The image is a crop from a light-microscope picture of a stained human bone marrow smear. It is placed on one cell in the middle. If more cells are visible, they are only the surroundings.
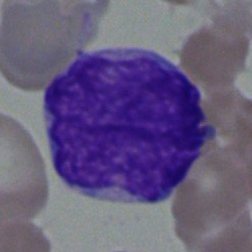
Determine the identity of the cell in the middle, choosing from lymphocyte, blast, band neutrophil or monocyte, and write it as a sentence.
For this crop, the cell in the middle is a blast.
